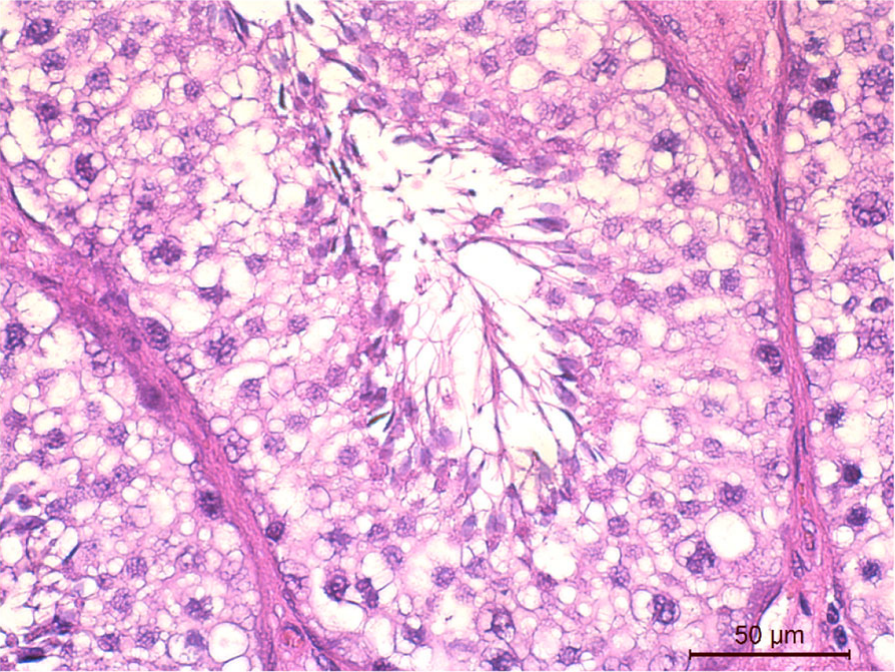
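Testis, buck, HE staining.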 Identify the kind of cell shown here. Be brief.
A: Elongated spermatids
